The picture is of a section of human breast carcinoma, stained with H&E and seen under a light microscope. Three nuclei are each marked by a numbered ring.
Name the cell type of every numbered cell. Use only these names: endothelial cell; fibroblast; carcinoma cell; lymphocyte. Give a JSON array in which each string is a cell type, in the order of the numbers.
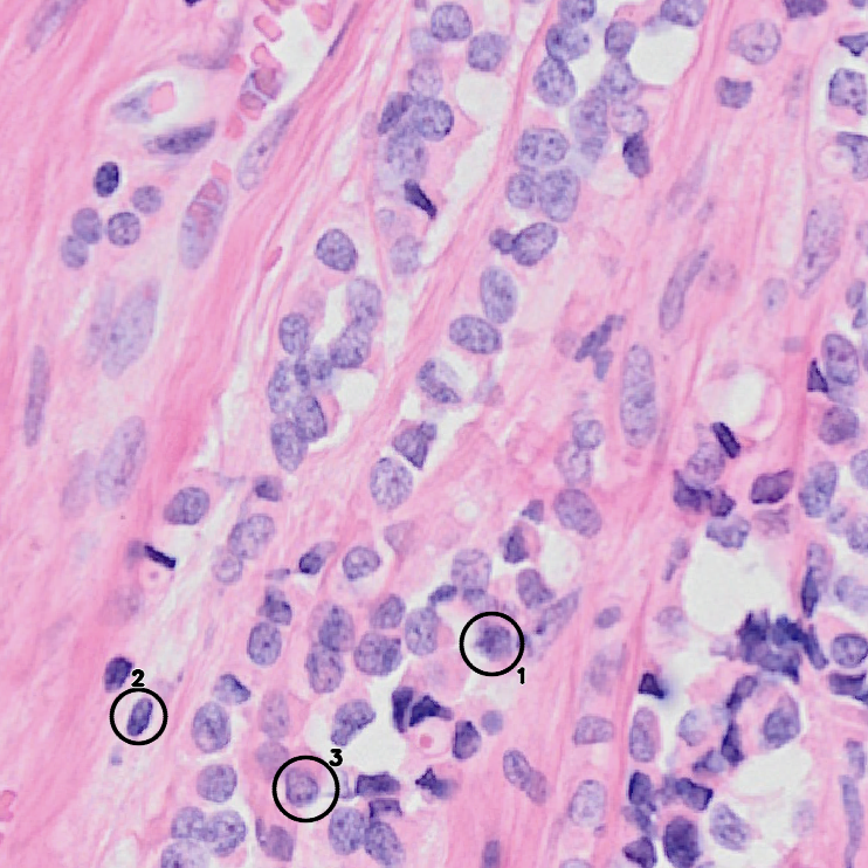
["carcinoma cell", "lymphocyte", "carcinoma cell"]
